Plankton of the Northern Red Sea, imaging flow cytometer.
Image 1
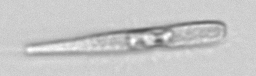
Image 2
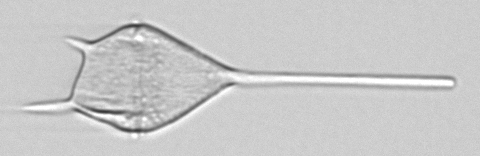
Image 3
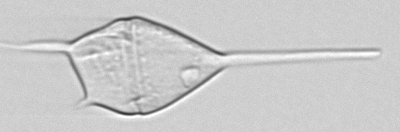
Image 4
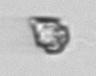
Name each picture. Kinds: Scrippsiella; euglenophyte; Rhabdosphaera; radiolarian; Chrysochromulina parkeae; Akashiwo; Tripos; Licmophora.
1: Licmophora
2: Tripos
3: Tripos
4: Scrippsiella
